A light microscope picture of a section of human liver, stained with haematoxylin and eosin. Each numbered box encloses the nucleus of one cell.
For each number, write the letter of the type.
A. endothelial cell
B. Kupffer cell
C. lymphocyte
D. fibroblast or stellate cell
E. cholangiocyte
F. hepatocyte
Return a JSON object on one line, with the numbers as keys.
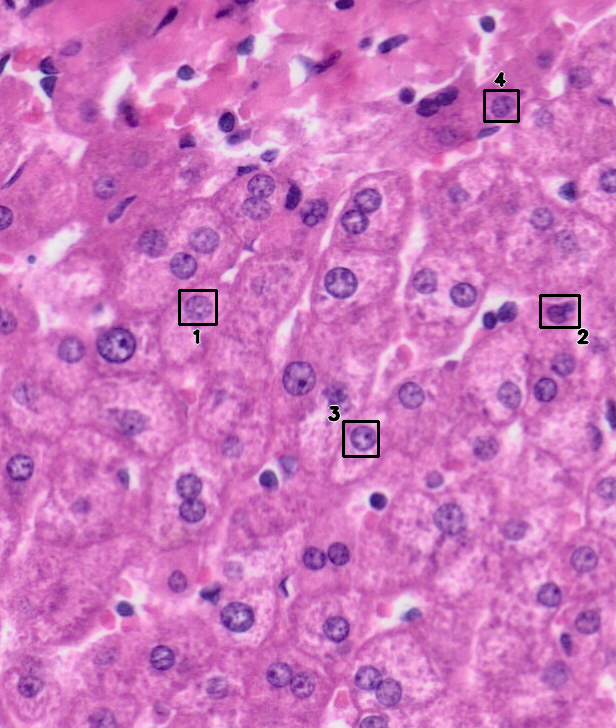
{"1": "F", "2": "B", "3": "F", "4": "F"}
